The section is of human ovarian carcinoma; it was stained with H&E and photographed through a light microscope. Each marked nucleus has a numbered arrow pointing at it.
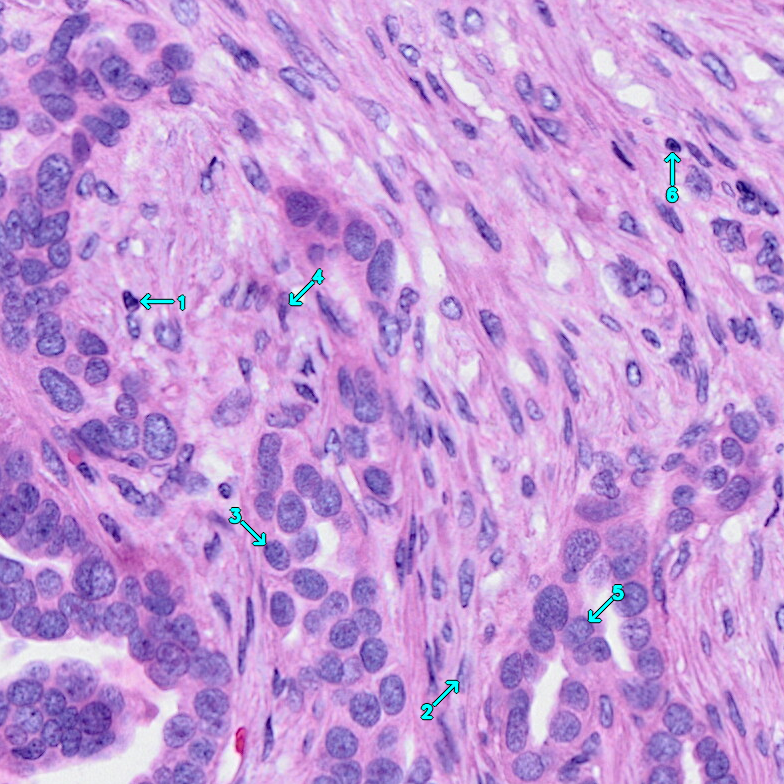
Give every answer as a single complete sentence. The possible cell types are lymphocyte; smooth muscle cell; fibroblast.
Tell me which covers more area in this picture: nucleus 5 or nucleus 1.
Nucleus 5 is the larger one, covering about 2 times the area of nucleus 1.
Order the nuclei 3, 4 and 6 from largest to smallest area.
The nuclei rank 3, 4, 6, from largest to smallest.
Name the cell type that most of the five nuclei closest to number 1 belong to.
Around number 1, most of the five nearest nuclei are those of fibroblasts.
